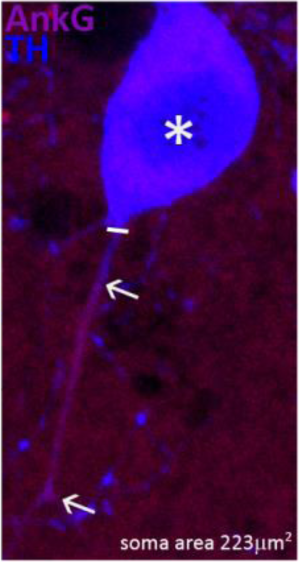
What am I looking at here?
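A single large, pear-shaped neuron fills the upper part of the field, its cell body brightly blue and marked with an asterisk. From its tapering lower pole one thin, unbranched process runs straight downward, and along a stretch of it, between two arrows, it carries a faint magenta coat. Small blue puncta and fine fibres are scattered in the dark magenta background around it.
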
